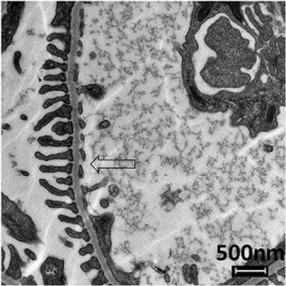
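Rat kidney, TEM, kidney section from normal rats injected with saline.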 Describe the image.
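This electron micrograph shows a glomerular capillary wall, with a thin, even basement membrane running down the image. On one side sits a regular, comb-like row of narrow podocyte foot processes separated by evenly spaced slits. On the other side lies the capillary lumen, filled with finely granular, flocculent material. A cell with a dark, irregularly folded nucleus is seen at the upper right.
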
